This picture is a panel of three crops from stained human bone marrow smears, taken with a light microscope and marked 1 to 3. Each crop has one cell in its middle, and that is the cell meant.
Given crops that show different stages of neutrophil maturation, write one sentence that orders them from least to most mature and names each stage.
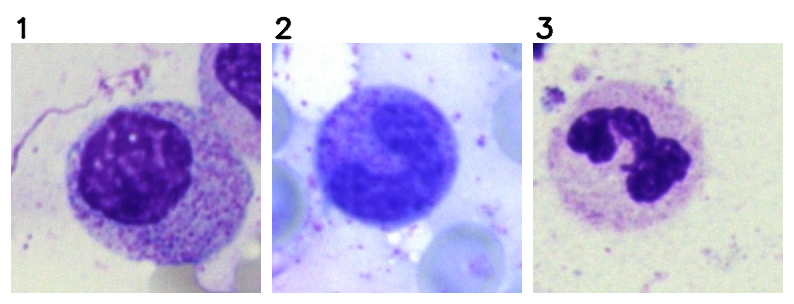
The right order here, from least to most mature, is crop 1 (a myelocyte), crop 2 (a band neutrophil) and crop 3 (a segmented neutrophil).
